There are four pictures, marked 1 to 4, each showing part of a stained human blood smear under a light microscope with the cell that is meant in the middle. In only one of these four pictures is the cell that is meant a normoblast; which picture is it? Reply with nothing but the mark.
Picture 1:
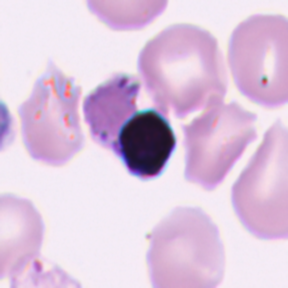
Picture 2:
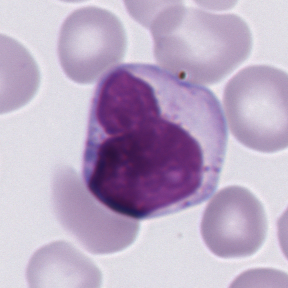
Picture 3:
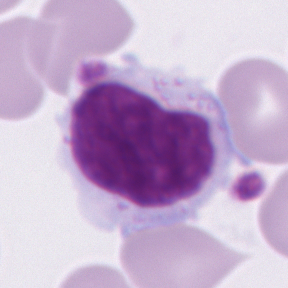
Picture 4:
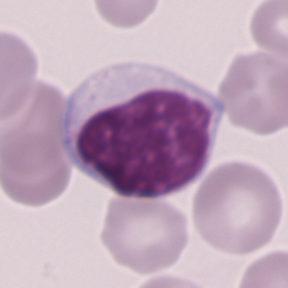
1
